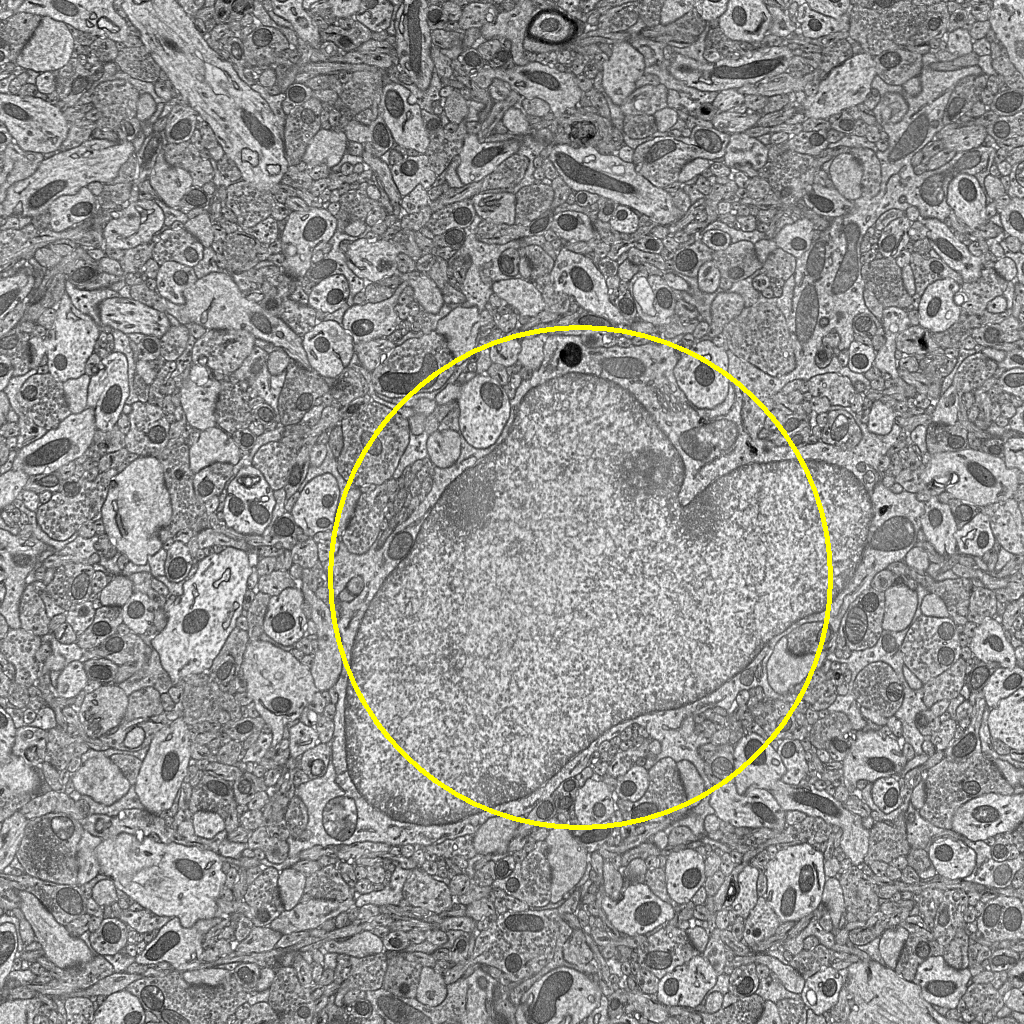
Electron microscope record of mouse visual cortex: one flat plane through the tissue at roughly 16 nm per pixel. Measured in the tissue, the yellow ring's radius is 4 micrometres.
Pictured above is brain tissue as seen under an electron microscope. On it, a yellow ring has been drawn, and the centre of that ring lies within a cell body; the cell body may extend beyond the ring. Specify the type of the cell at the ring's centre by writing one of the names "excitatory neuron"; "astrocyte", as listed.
astrocyte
